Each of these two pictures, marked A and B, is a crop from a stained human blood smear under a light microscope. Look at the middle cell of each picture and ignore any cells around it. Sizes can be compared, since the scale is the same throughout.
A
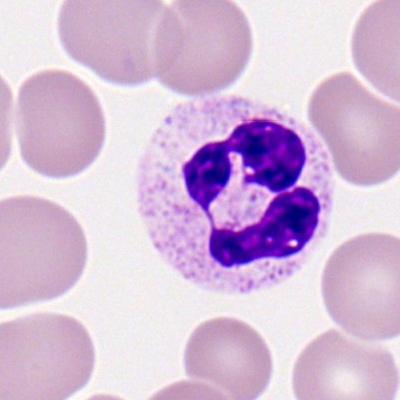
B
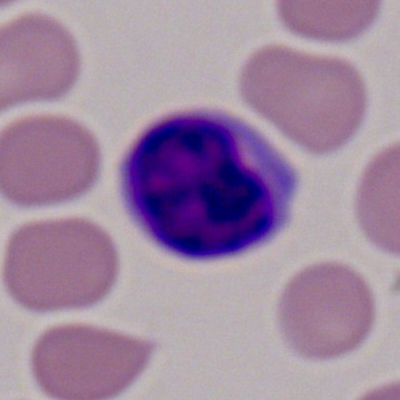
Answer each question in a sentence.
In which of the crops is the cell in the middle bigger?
The cell in crop A is larger, with about 1.5 times the area of the one in crop B.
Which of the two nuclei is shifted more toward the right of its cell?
In crop A the nucleus is shifted more toward the right.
